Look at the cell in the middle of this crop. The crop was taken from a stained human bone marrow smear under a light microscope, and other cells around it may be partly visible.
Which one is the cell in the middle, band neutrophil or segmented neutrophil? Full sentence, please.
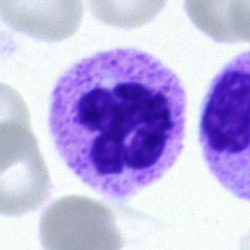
Seen at the centre of the crop is a segmented neutrophil.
